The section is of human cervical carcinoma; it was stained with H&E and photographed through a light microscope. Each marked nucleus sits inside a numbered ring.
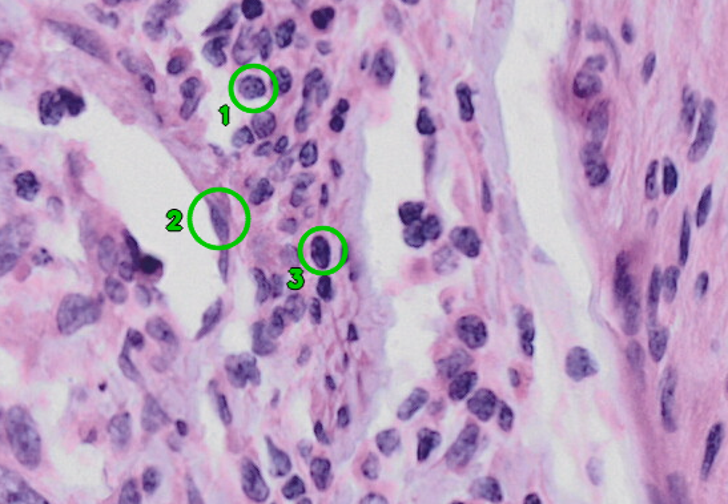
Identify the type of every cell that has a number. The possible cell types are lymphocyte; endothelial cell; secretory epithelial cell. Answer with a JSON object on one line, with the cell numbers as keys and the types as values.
{"1": "lymphocyte", "2": "endothelial cell", "3": "lymphocyte"}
